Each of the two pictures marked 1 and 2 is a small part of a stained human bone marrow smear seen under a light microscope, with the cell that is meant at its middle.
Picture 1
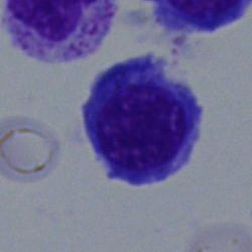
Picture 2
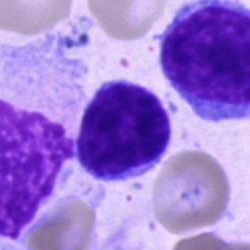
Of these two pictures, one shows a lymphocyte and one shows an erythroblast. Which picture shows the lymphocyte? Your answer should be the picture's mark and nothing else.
2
